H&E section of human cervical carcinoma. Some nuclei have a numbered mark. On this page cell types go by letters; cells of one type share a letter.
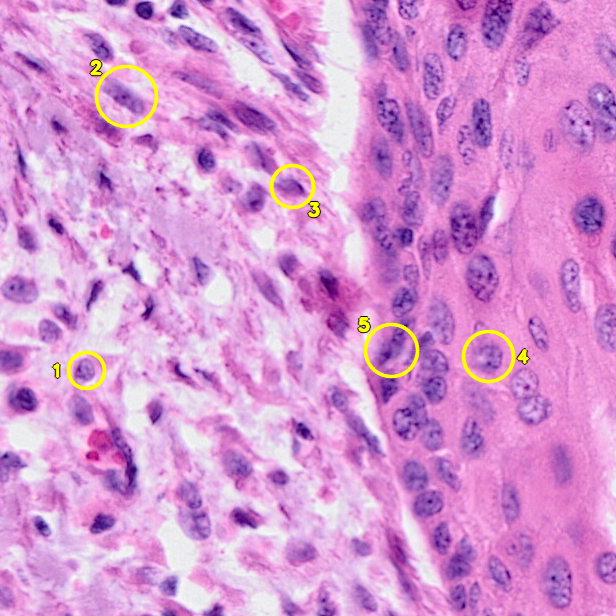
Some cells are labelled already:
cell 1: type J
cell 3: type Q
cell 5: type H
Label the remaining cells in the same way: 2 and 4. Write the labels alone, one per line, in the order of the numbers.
type Q
type H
